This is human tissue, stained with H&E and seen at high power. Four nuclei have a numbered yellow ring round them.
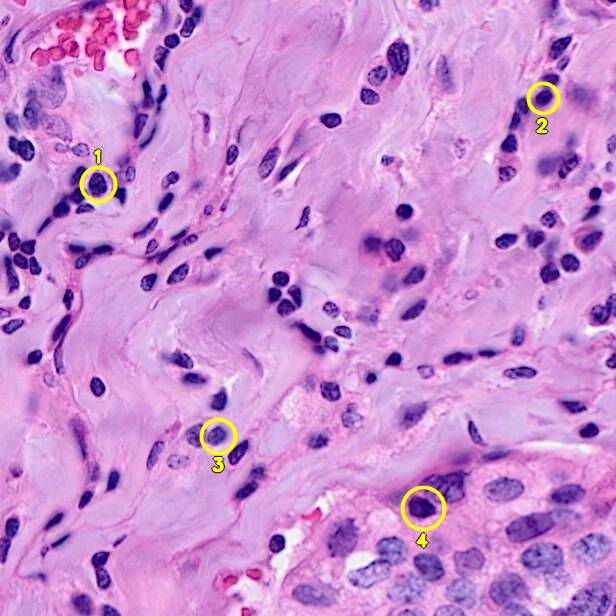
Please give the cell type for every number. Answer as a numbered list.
1. lymphocyte
2. lymphocyte
3. lymphocyte
4. carcinoma cell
